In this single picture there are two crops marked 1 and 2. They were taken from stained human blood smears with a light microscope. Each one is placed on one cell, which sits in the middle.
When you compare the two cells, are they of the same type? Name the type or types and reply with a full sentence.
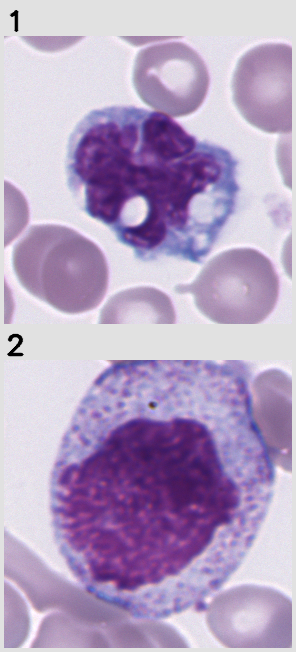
No, a monocyte is what crop 1 shows, and a promyelocyte is what crop 2 shows.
